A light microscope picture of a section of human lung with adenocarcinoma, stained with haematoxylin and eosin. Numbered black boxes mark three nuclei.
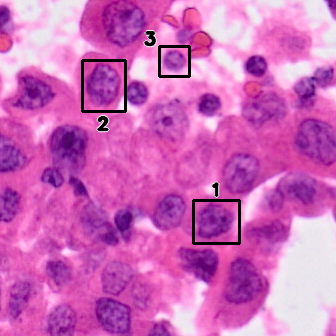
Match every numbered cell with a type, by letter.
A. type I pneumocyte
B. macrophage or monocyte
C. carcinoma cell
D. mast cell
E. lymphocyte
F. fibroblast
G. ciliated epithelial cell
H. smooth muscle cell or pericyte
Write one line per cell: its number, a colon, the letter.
1: C
2: C
3: E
